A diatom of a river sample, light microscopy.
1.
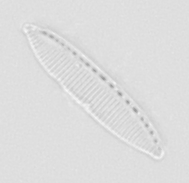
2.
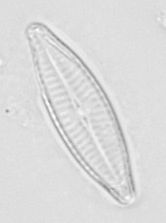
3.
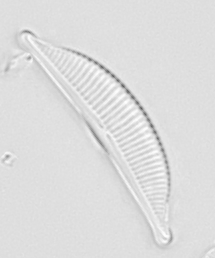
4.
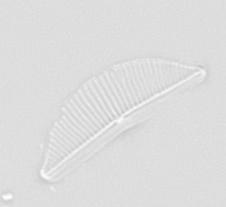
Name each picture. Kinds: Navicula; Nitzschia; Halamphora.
(1) Nitzschia
(2) Navicula
(3) Halamphora
(4) Halamphora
